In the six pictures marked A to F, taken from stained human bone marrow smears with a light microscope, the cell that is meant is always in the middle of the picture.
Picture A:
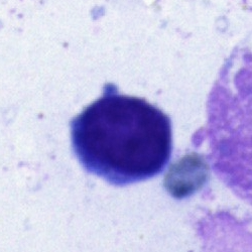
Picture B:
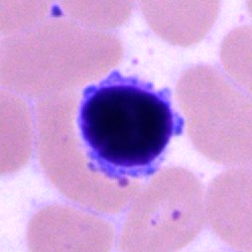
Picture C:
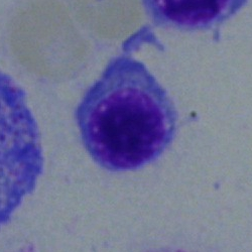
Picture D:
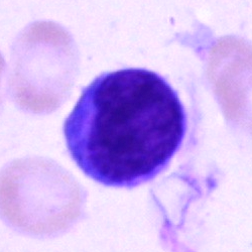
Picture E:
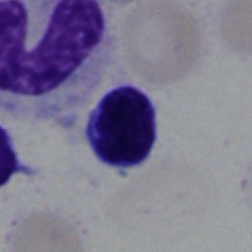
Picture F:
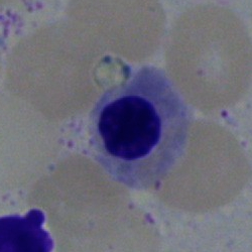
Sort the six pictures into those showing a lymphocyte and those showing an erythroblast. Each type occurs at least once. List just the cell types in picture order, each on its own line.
lymphocyte
lymphocyte
erythroblast
lymphocyte
lymphocyte
erythroblast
